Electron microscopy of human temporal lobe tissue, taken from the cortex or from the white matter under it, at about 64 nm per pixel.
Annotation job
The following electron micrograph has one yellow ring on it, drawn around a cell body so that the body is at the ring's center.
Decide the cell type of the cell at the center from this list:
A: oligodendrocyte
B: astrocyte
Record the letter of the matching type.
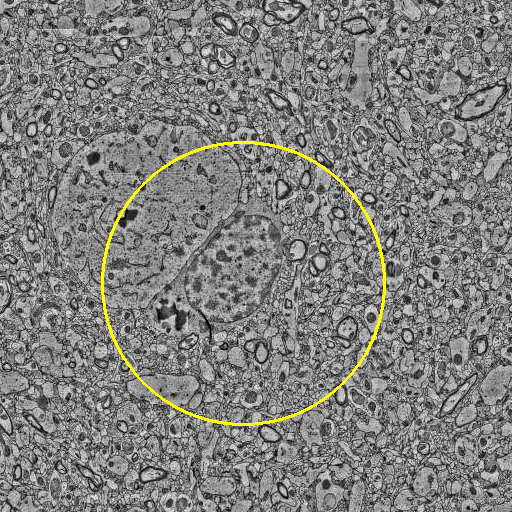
A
